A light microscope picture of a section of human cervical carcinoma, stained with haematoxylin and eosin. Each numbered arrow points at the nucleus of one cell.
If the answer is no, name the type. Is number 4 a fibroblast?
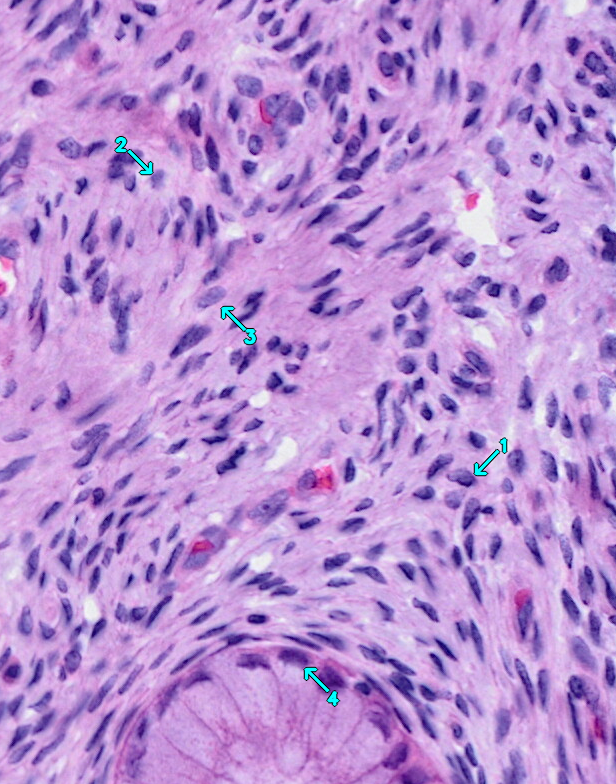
No, it is a secretory epithelial cell.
